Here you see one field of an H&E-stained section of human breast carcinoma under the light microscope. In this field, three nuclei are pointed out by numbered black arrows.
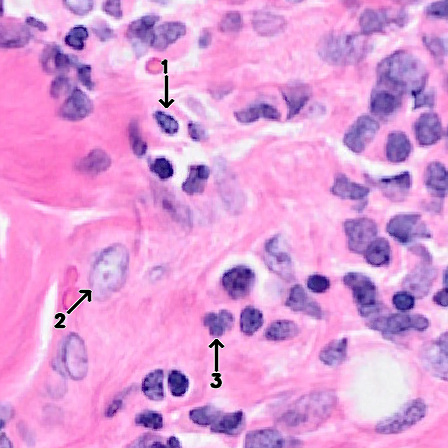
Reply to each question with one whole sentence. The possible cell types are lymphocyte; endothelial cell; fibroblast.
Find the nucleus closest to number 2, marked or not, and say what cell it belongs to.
Number 2 lies closest to the nucleus of a fibroblast.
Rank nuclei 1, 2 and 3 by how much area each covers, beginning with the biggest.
By area, largest first, they run 2, 3, 1.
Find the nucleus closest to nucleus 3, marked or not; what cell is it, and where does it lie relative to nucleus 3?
The nearest nucleus is that of a lymphocyte and lies to the right of nucleus 3.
